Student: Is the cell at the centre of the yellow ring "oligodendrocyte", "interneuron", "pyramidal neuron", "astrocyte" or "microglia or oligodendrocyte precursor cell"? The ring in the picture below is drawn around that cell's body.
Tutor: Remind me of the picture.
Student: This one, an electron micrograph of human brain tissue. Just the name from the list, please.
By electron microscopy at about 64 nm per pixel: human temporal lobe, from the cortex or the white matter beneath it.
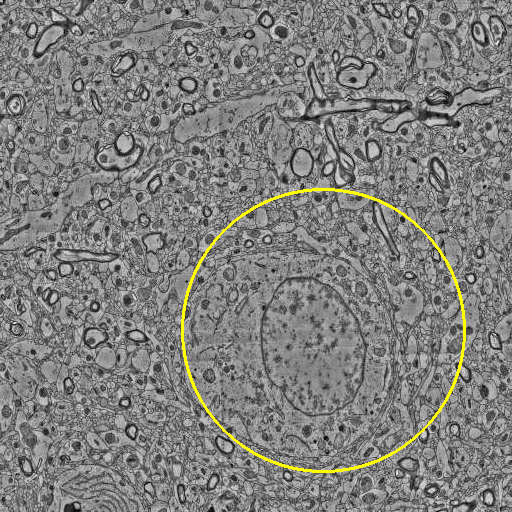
pyramidal neuron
